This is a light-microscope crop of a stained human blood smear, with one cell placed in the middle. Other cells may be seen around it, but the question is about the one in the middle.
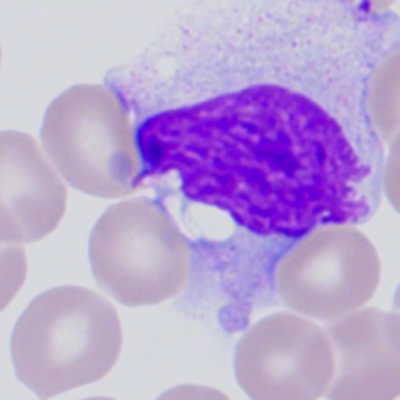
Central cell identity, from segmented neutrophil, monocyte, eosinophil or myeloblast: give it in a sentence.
What the crop centres on is a monocyte.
